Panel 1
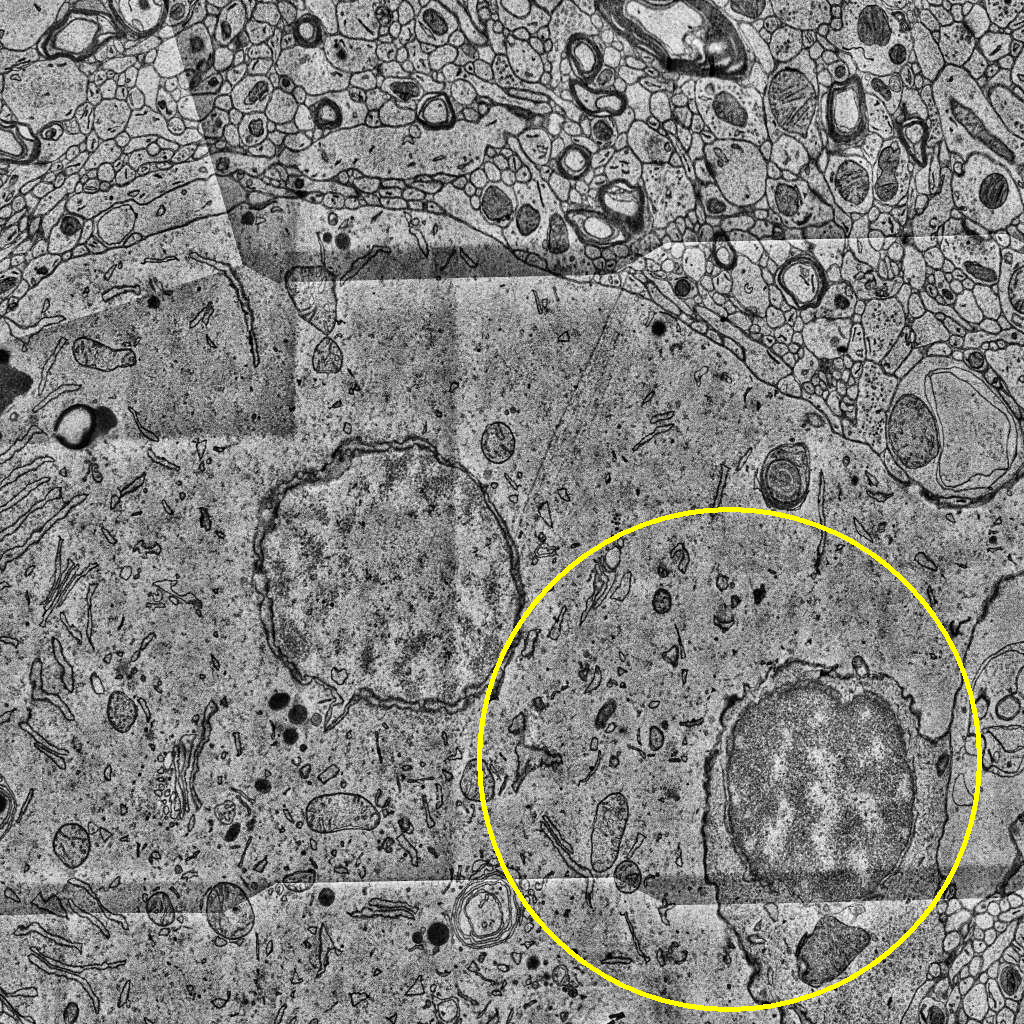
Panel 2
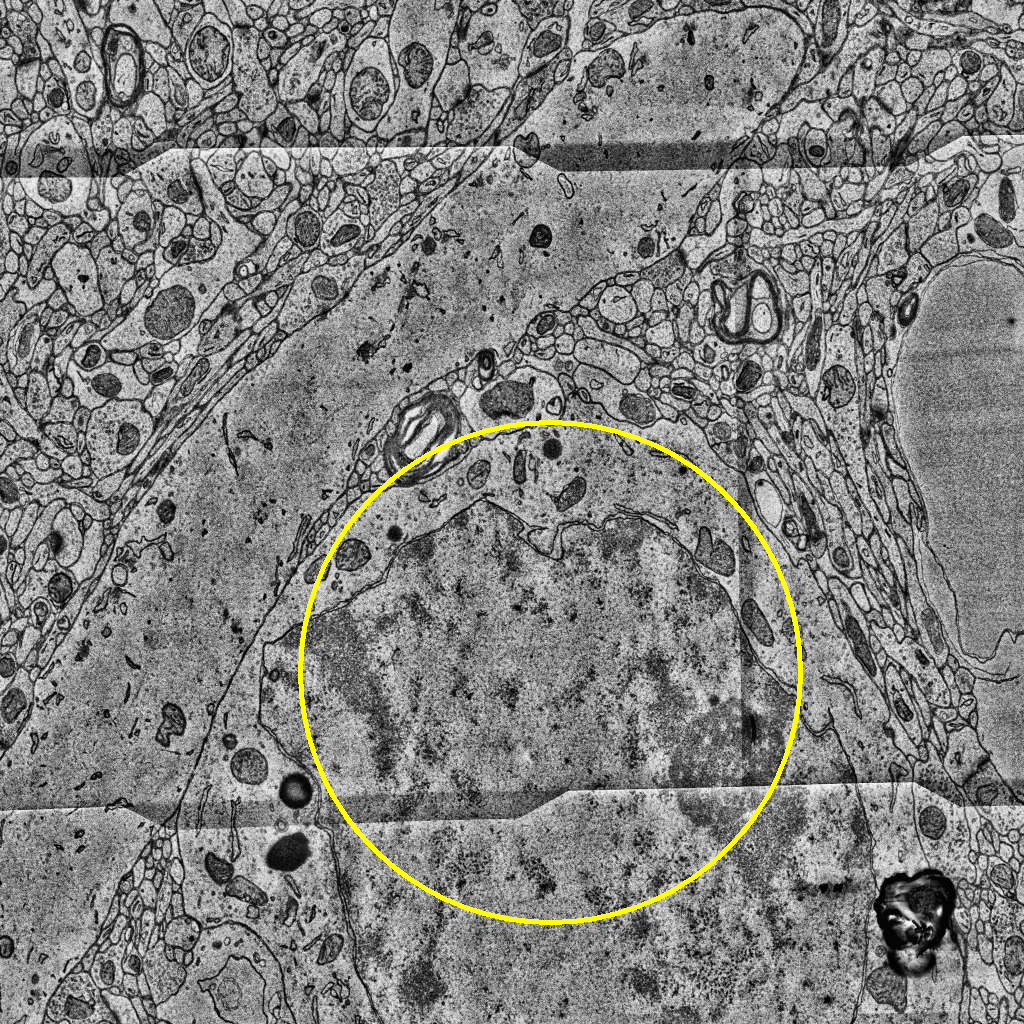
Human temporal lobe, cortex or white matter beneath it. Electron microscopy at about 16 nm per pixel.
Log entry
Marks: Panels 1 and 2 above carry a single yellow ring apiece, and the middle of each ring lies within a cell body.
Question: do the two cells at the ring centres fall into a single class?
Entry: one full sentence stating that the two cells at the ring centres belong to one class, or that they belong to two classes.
The two cells at the ring centres in Panels 1 and 2 belong to two classes.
